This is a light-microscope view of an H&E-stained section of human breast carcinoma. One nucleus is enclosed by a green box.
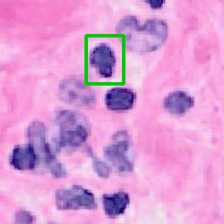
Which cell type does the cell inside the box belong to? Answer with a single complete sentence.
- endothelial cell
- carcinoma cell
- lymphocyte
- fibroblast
Cell type answer for this item: the cell inside the box is a lymphocyte.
